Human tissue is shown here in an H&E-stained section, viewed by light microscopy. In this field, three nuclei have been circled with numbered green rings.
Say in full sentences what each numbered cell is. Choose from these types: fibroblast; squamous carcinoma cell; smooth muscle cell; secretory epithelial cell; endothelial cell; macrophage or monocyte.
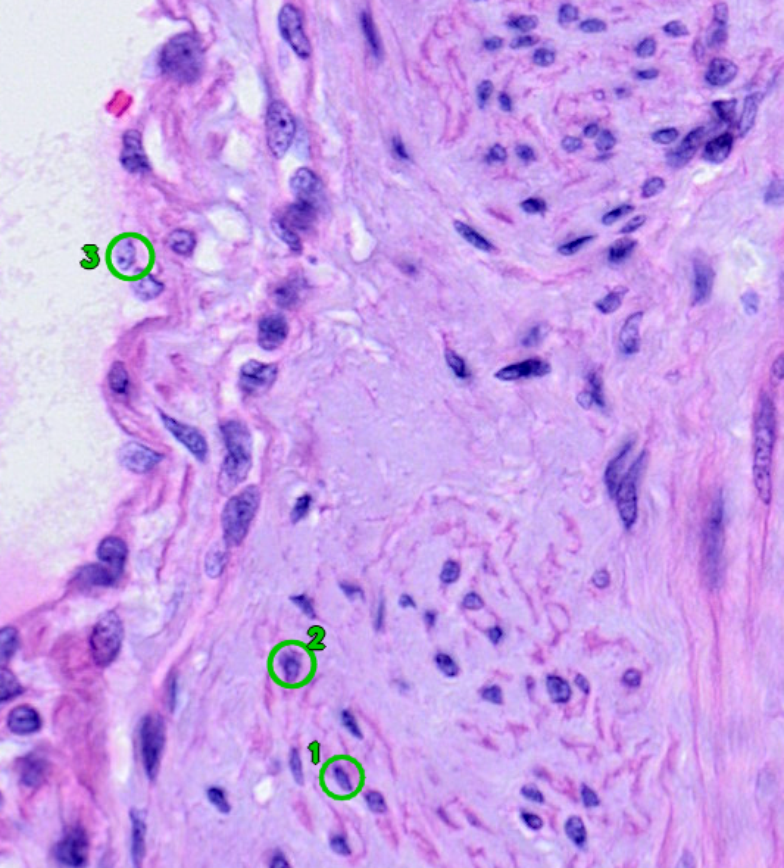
Cells 1 and 2 are smooth muscle cells. Cell 3 is an endothelial cell.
